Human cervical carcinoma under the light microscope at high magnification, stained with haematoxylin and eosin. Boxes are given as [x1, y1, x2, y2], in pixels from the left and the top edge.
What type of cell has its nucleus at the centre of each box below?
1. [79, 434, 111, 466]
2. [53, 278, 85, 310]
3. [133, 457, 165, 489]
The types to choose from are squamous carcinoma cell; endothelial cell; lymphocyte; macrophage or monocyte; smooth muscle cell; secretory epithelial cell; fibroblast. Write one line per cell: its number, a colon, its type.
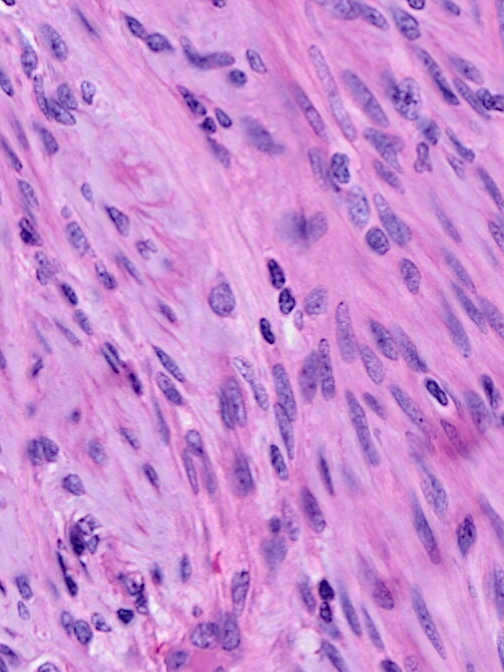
1: smooth muscle cell
2: lymphocyte
3: smooth muscle cell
